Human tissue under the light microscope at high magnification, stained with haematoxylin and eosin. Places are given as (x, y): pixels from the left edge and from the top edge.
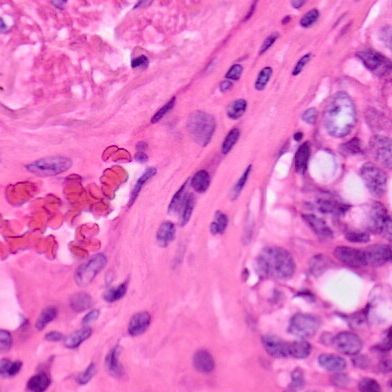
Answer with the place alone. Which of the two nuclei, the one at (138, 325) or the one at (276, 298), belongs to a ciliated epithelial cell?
(276, 298)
